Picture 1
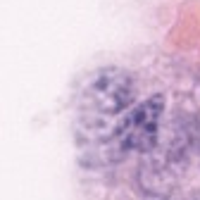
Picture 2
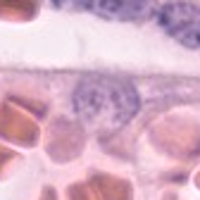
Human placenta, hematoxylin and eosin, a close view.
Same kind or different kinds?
Same: cytotrophoblasts.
